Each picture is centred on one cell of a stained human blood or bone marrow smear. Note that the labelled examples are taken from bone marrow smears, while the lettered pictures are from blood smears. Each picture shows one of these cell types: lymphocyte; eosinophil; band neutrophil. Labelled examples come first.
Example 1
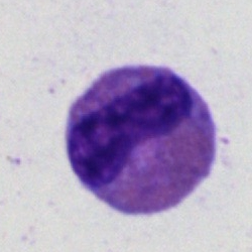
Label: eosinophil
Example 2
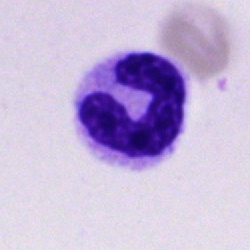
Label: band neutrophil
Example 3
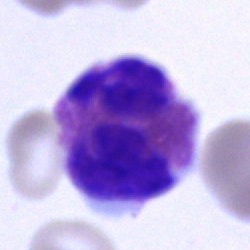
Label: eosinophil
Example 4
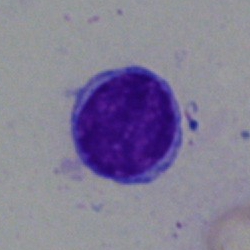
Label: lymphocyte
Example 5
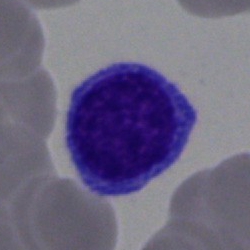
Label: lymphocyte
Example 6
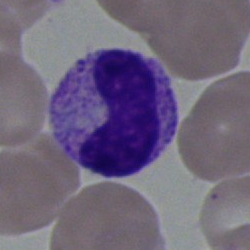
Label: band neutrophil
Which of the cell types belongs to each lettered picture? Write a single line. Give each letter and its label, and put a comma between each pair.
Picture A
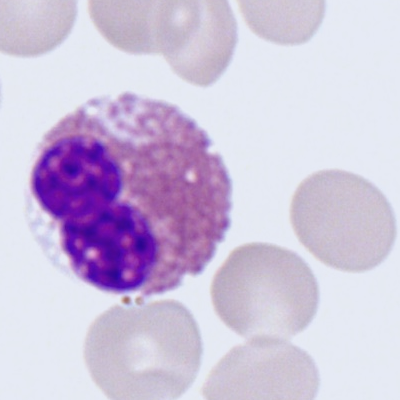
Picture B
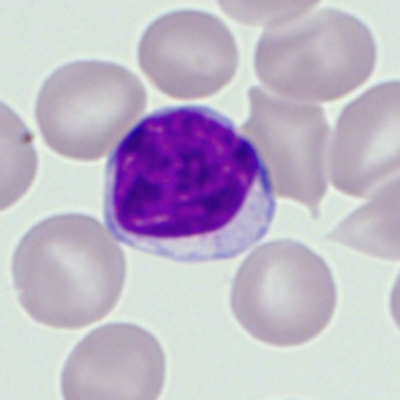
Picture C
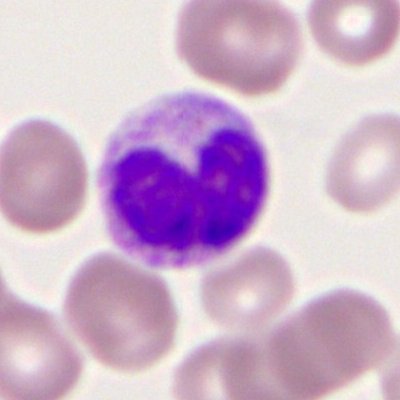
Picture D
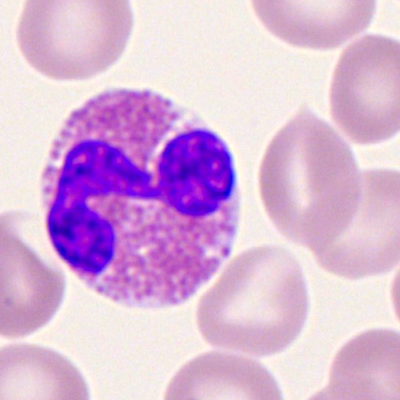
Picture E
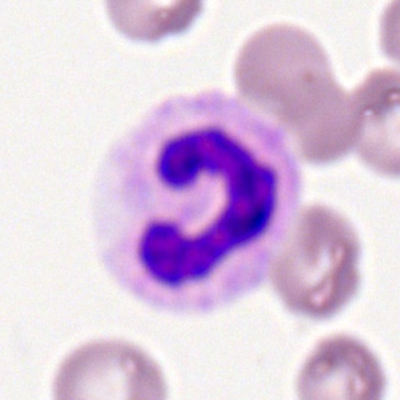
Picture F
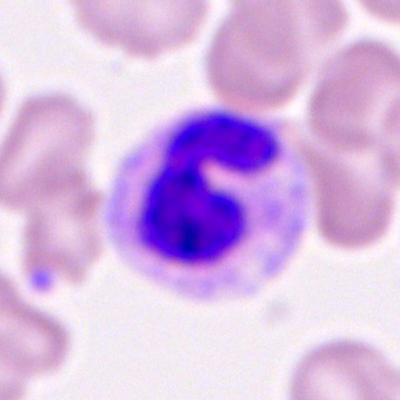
A eosinophil, B lymphocyte, C band neutrophil, D eosinophil, E band neutrophil, F band neutrophil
